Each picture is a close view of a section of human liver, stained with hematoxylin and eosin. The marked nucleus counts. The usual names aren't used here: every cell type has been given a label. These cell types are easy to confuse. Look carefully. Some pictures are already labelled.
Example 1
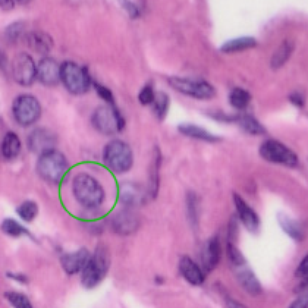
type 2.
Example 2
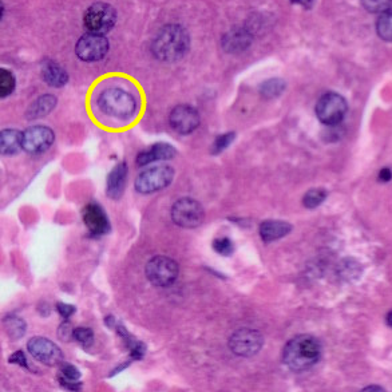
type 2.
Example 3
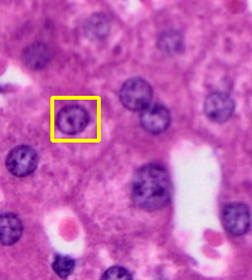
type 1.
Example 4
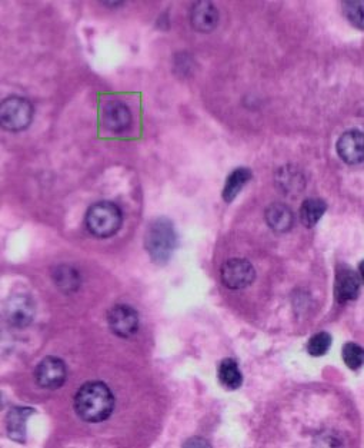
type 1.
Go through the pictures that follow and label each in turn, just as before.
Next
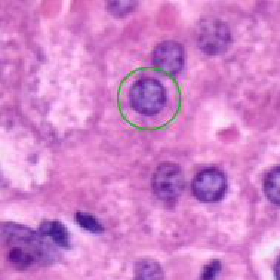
type 1.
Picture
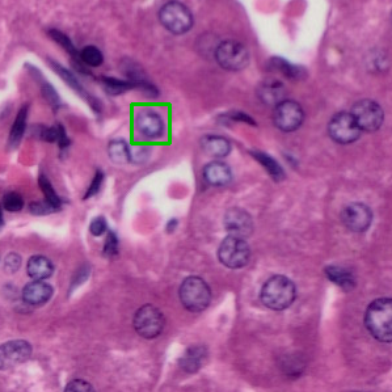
type 2.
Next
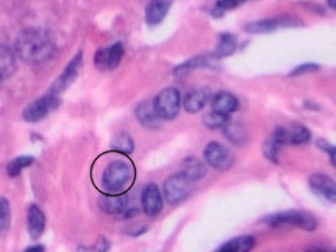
type 2.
